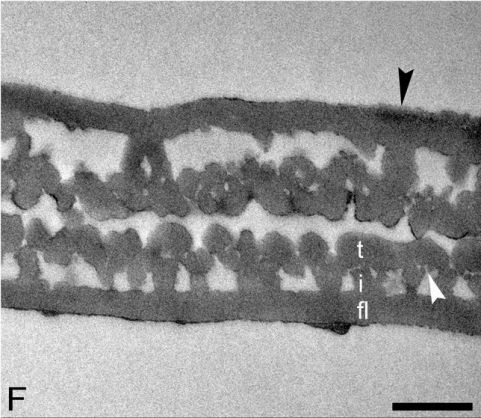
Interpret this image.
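A thin section through the pollen wall shows it as a band of several layers. A smooth continuous dense layer runs along one face, and another continuous dense layer along the other, while between them lie rows of rounded dense granules and short columns separated by light gaps.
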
